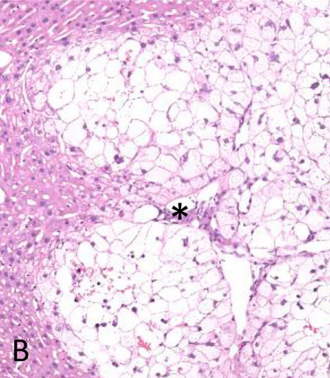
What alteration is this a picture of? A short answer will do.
clear cell alteration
